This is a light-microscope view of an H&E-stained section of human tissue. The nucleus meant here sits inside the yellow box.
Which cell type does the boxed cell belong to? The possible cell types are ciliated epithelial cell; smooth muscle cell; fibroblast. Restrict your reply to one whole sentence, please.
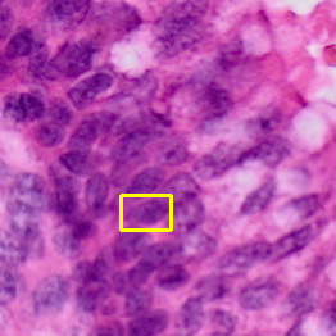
Placed in its cell category, the boxed cell is a ciliated epithelial cell.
